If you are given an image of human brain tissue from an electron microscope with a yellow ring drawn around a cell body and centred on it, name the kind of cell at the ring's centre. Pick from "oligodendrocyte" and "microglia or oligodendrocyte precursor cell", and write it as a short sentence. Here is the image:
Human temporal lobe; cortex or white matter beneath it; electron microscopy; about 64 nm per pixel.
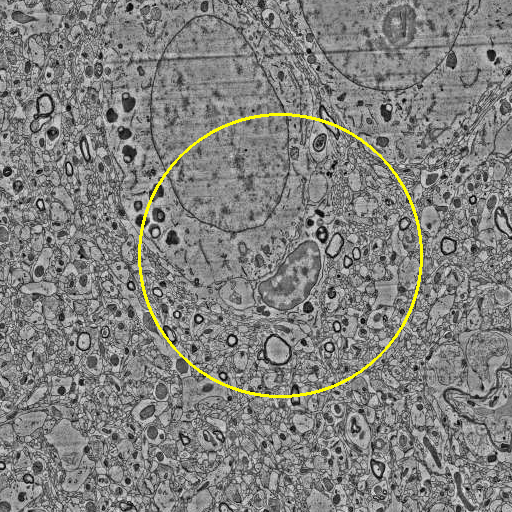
The cell at the ring's centre is a microglial cell or oligodendrocyte precursor cell.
